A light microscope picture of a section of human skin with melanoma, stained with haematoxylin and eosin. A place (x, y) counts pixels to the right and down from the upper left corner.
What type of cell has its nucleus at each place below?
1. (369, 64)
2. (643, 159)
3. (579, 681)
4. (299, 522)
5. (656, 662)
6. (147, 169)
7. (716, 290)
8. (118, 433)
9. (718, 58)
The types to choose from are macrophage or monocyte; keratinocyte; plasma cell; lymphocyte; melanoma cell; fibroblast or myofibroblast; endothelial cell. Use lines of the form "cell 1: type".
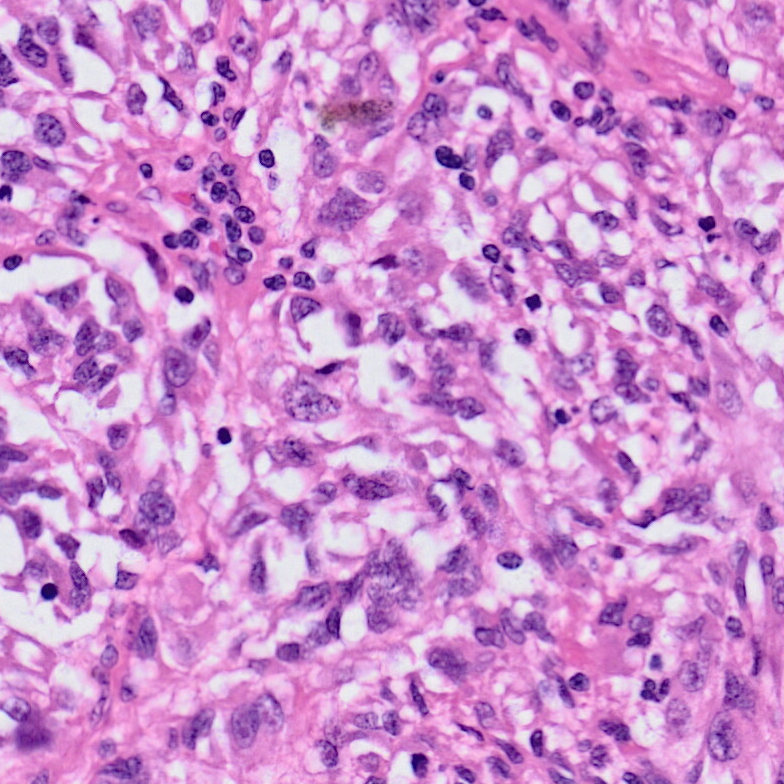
cell 1: melanoma cell
cell 2: melanoma cell
cell 3: lymphocyte
cell 4: melanoma cell
cell 5: lymphocyte
cell 6: lymphocyte
cell 7: melanoma cell
cell 8: melanoma cell
cell 9: fibroblast or myofibroblast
